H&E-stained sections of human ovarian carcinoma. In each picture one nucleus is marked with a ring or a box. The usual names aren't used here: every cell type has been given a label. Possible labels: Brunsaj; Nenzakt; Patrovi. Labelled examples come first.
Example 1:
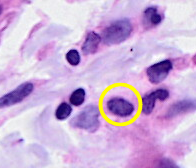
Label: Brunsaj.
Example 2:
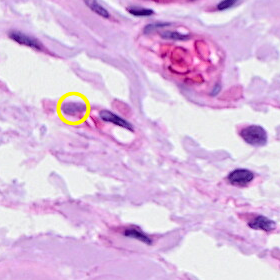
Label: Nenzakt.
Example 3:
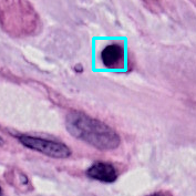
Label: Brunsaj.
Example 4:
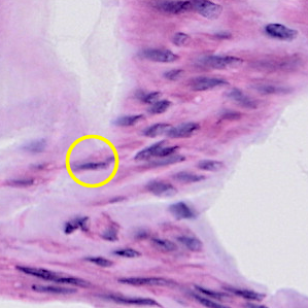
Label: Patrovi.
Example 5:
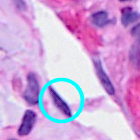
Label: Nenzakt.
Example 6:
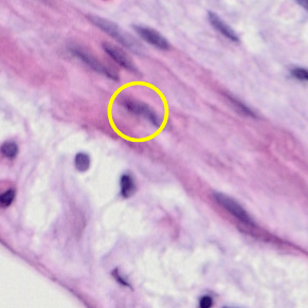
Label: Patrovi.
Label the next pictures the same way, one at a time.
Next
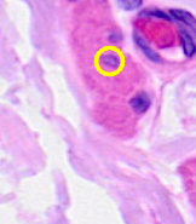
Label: Patrovi.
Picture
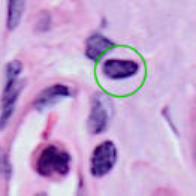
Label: Brunsaj.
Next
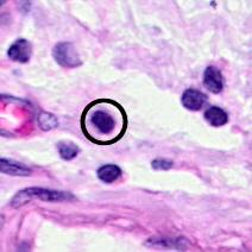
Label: Brunsaj.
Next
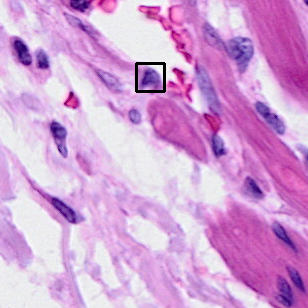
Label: Nenzakt.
